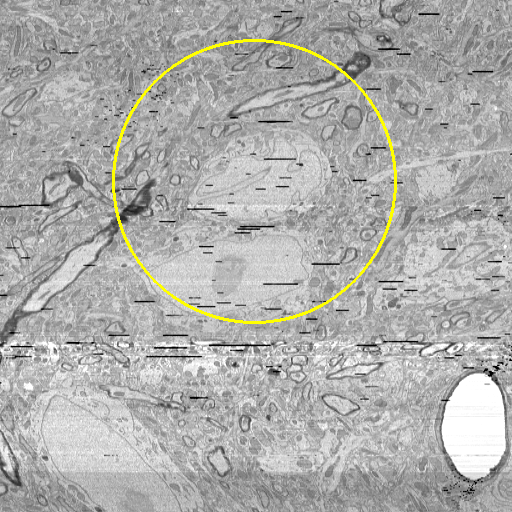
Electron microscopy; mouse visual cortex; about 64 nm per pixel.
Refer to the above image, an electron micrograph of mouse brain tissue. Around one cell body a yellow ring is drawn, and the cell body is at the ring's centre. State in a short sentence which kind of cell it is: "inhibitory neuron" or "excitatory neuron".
The centre of the ring falls on an inhibitory neuron.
